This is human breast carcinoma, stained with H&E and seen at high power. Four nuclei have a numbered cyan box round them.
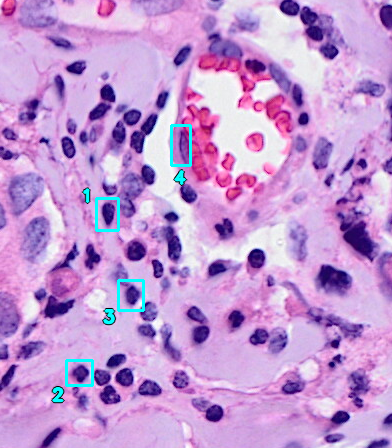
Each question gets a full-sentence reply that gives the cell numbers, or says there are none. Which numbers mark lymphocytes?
The cells with the number labels 1, 2 and 3 are lymphocytes.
